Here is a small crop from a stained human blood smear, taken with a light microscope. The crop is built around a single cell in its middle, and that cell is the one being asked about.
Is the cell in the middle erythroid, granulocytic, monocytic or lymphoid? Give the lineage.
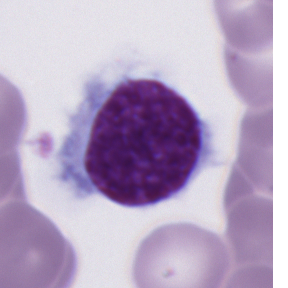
lymphoid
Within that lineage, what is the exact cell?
hairy cell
